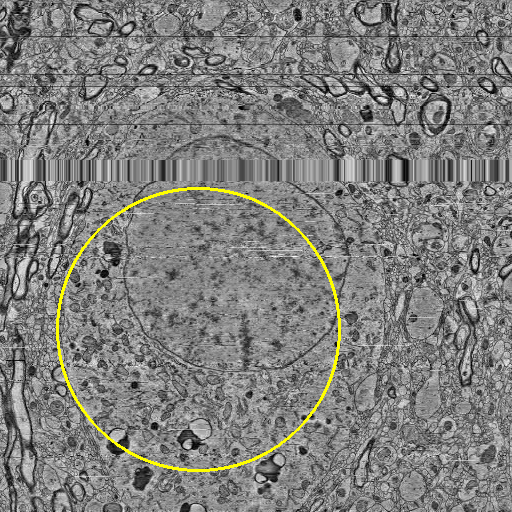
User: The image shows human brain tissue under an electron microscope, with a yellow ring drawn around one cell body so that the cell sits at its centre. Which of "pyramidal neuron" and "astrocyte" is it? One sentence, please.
At the centre of the ring sits a pyramidal neuron.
